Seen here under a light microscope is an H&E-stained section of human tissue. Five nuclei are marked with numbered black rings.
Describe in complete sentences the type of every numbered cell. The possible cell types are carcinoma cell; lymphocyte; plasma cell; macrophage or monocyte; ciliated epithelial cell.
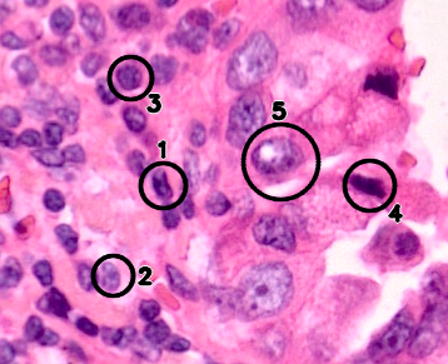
Cells 1 and 2 are lymphocytes. Cell 3 is a plasma cell. Cells 4 and 5 are carcinoma cells.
